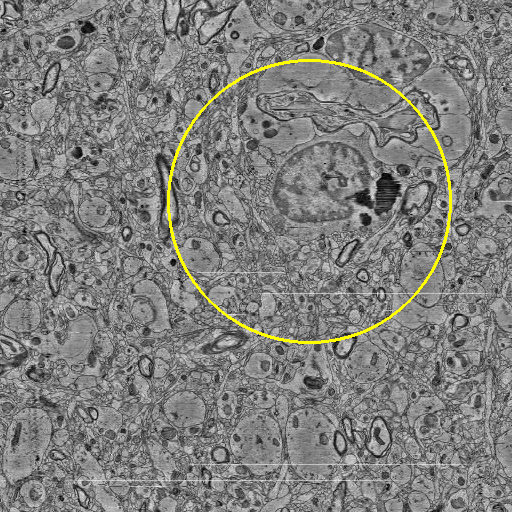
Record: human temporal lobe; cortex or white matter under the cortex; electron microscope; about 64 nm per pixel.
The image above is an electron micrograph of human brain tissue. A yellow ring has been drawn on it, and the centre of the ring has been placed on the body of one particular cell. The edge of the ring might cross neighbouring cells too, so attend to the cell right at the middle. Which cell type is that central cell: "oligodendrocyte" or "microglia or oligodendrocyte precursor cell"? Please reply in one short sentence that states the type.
The central cell in the ring is an oligodendrocyte.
